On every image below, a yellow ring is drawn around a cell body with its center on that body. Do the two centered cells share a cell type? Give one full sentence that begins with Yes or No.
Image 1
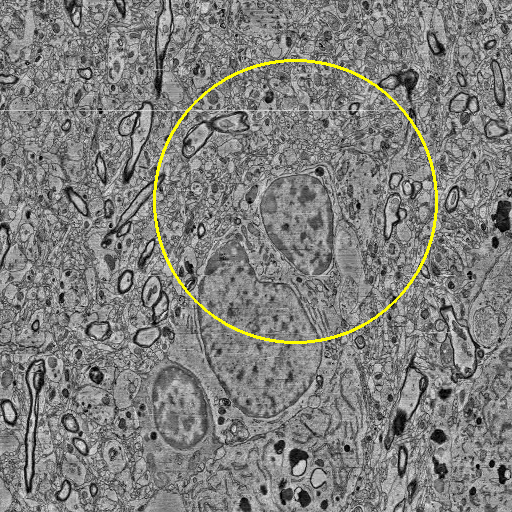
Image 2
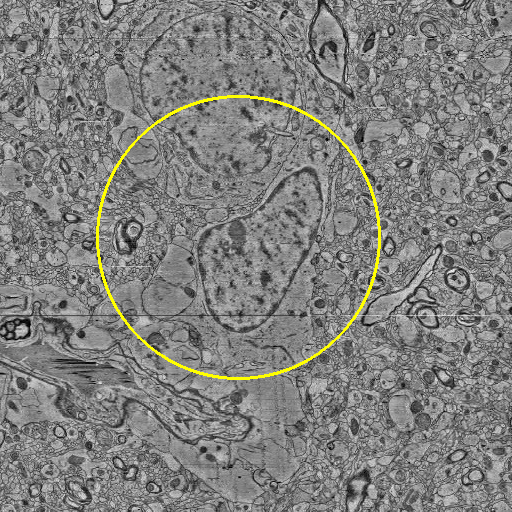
Yes, the centered cells in the two images are of a single cell type.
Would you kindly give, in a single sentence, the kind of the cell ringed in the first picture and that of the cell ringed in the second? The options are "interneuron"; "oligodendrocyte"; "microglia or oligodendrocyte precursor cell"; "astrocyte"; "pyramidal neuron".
Each of the two pictures has a microglial cell or oligodendrocyte precursor cell at the ring centre.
